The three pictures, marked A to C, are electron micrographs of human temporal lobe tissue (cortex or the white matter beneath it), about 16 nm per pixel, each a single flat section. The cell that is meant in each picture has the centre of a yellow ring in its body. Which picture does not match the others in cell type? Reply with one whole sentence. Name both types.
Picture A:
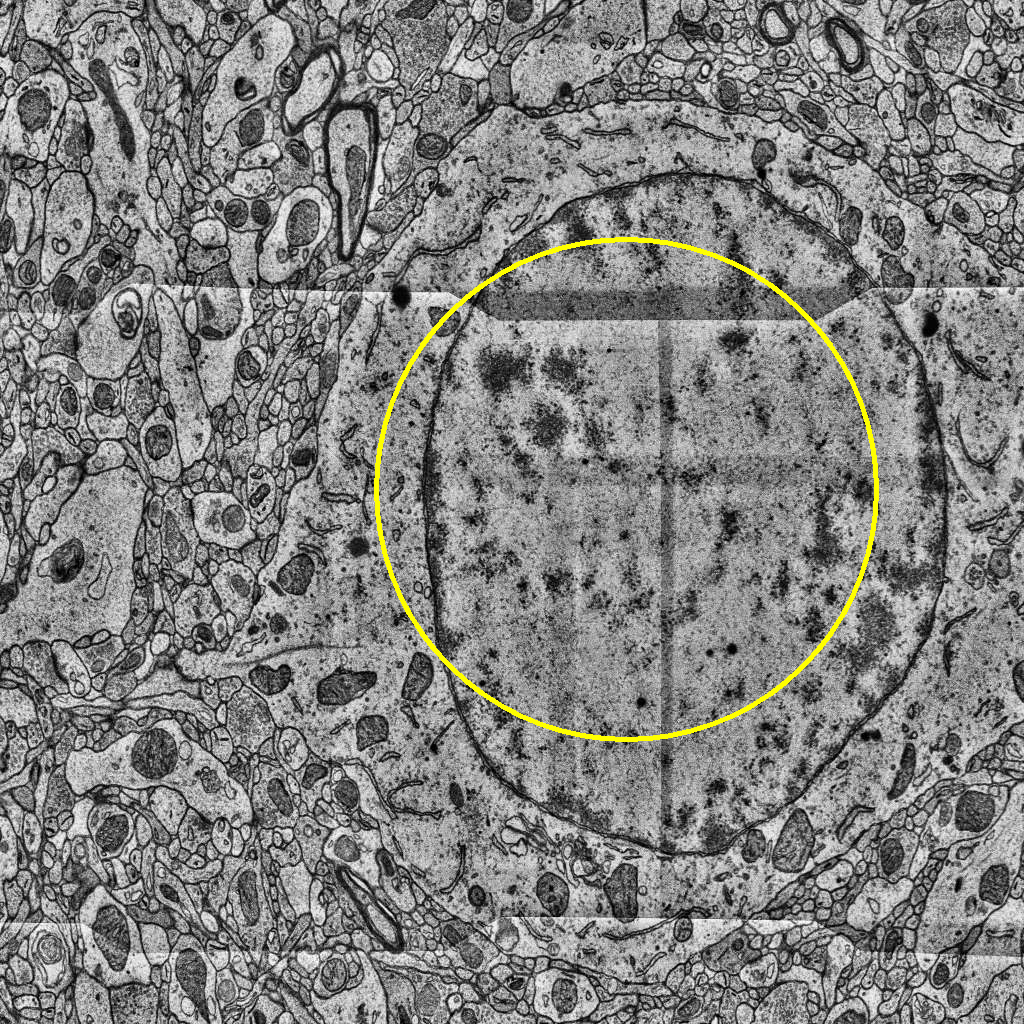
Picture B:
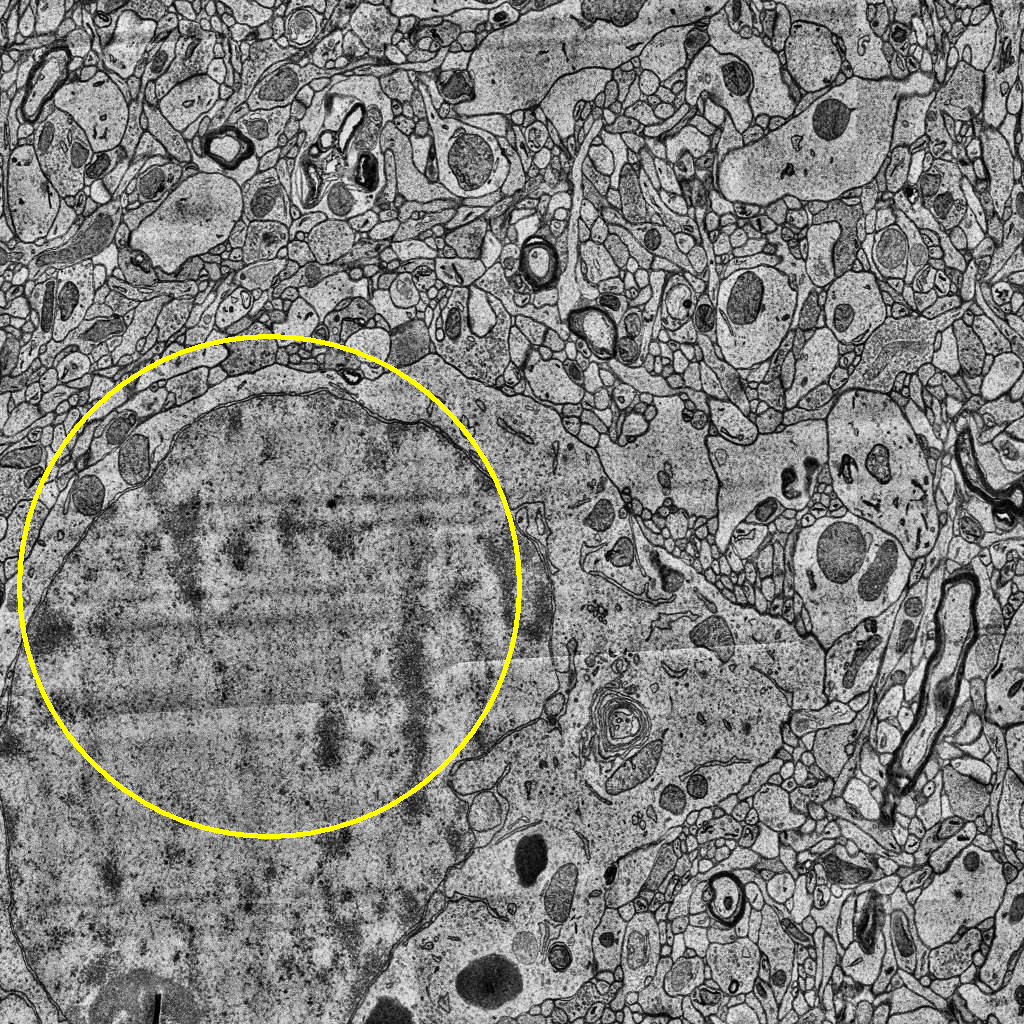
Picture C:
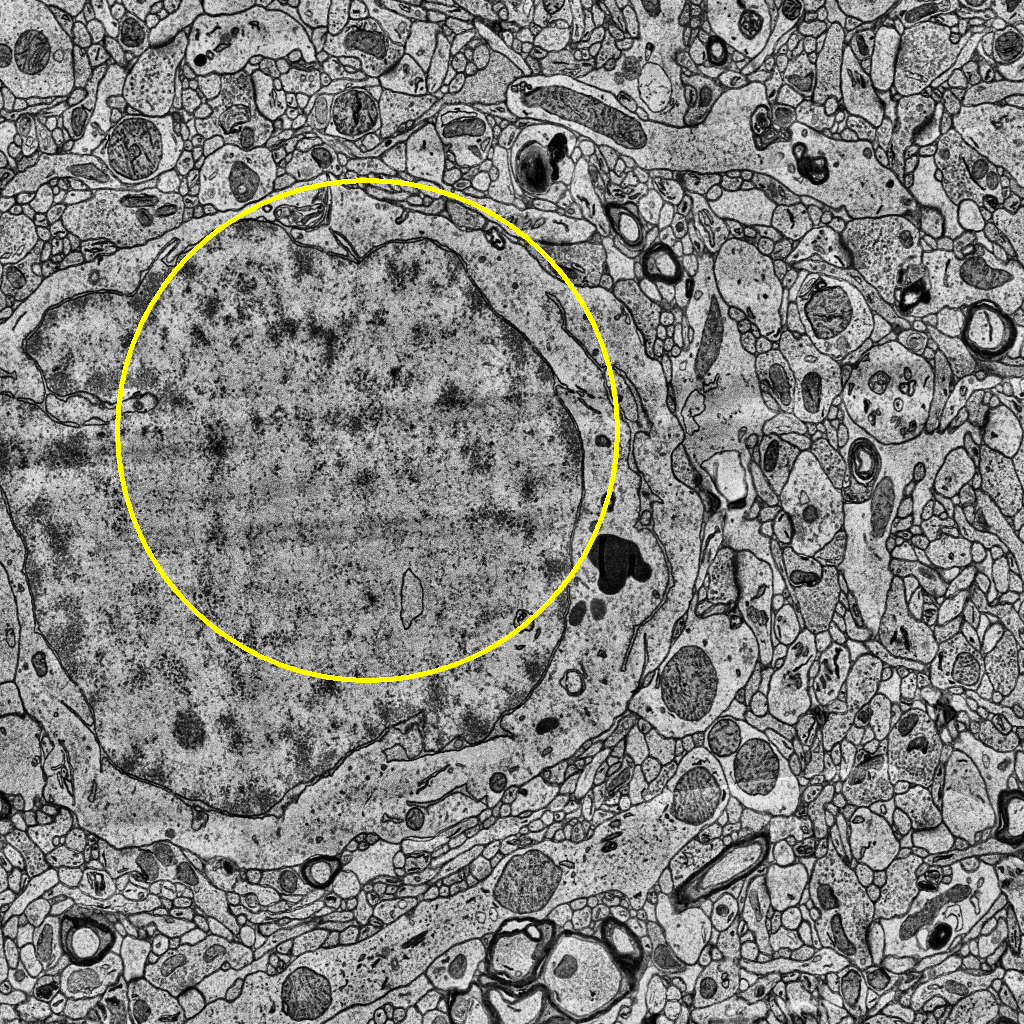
Picture A differs, because its cell is a pyramidal neuron and the rest are interneurons.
